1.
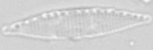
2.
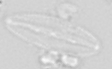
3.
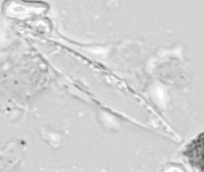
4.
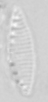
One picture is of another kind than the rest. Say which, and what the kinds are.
Picture 2 shows Fistulifera; the rest show Nitzschia.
